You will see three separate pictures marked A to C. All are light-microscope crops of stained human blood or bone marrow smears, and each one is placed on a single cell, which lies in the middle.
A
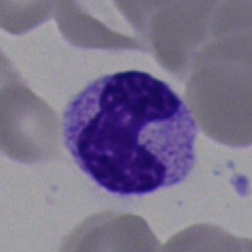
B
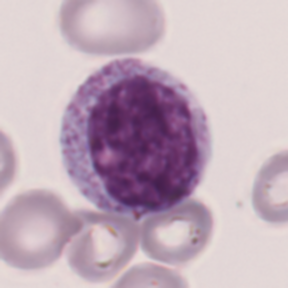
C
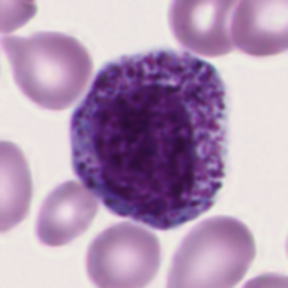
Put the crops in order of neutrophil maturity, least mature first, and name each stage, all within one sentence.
Ordered from the youngest stage to the most mature, the crops are crop C (a promyelocyte), crop B (a myelocyte) and crop A (a band neutrophil).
